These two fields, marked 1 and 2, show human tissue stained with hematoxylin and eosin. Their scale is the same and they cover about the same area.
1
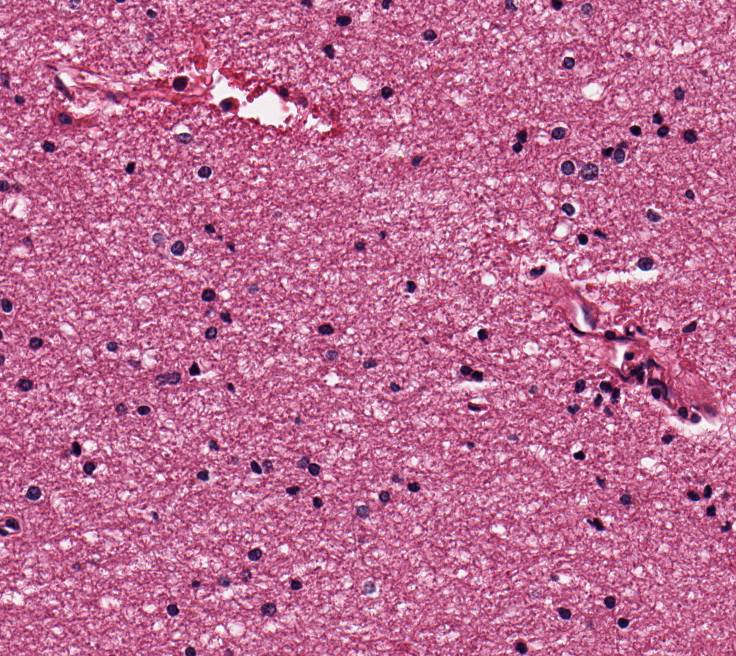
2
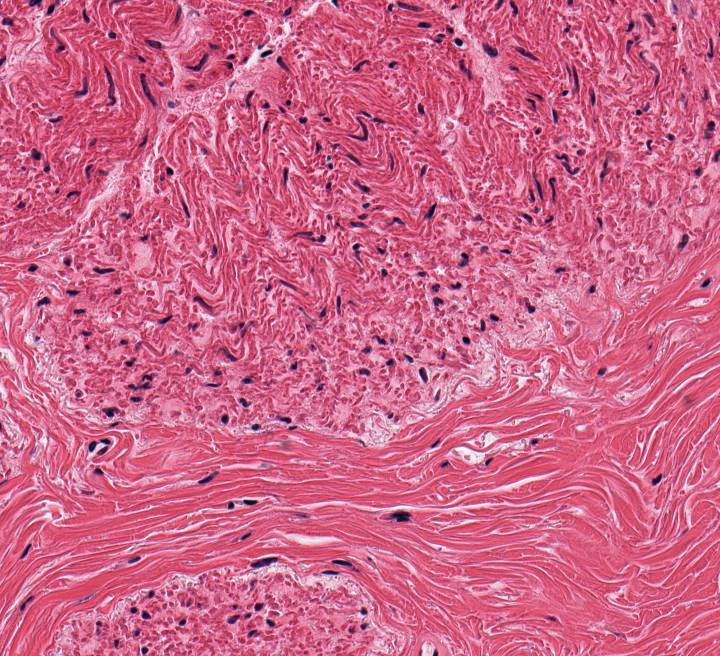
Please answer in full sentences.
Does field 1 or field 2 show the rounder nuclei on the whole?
On the whole the nuclei of field 1 are rounder than those of field 2.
